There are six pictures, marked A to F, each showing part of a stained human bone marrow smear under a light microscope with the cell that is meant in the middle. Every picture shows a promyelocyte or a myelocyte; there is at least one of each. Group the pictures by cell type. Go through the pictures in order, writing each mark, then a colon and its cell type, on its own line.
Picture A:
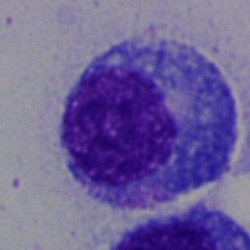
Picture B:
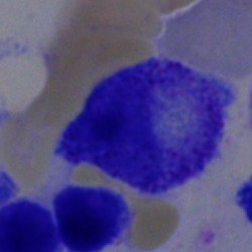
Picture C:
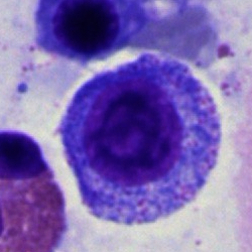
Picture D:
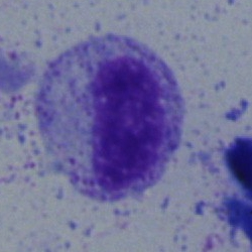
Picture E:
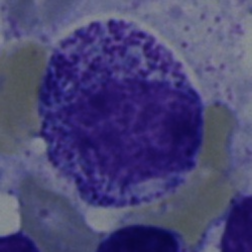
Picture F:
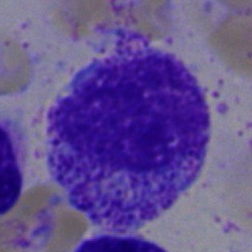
A: promyelocyte
B: myelocyte
C: promyelocyte
D: myelocyte
E: promyelocyte
F: myelocyte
